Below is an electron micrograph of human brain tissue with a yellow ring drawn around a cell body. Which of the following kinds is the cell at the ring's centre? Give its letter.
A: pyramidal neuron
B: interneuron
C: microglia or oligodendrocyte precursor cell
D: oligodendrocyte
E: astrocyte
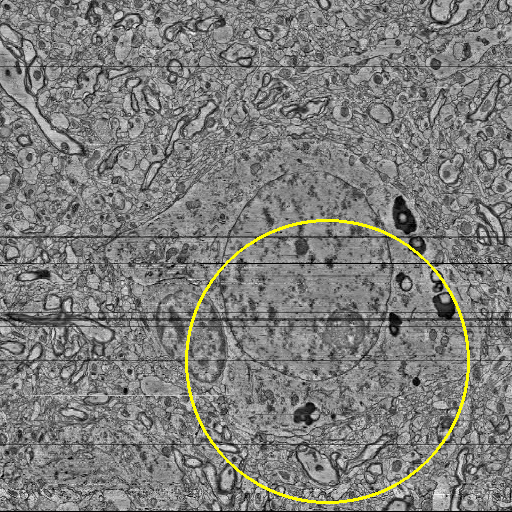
A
